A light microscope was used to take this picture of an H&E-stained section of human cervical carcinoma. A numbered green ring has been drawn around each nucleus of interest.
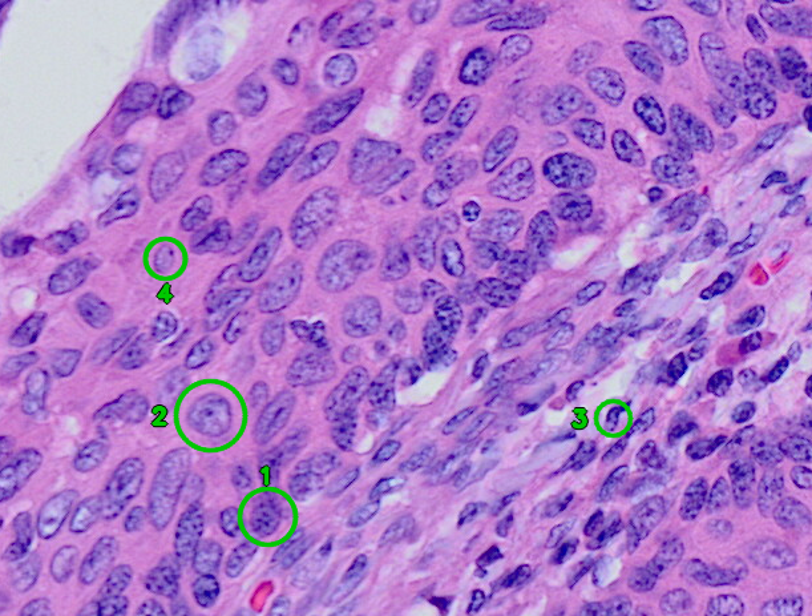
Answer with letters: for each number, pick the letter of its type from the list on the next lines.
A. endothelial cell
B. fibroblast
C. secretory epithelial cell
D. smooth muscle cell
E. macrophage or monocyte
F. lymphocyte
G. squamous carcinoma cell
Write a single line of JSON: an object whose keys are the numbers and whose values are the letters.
{"1": "G", "2": "G", "3": "F", "4": "G"}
